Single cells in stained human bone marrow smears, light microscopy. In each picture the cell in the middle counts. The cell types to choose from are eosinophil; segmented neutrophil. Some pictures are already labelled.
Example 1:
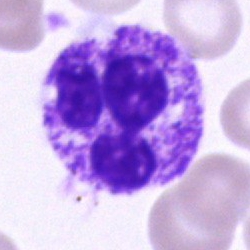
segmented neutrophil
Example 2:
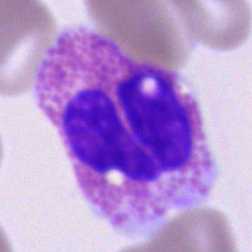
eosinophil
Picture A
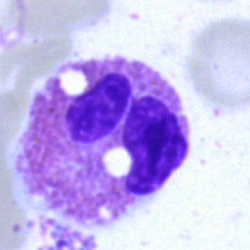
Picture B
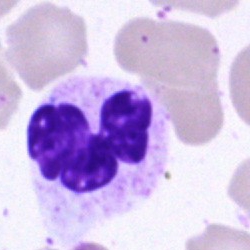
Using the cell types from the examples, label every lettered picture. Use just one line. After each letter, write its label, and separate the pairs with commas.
A eosinophil, B segmented neutrophil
